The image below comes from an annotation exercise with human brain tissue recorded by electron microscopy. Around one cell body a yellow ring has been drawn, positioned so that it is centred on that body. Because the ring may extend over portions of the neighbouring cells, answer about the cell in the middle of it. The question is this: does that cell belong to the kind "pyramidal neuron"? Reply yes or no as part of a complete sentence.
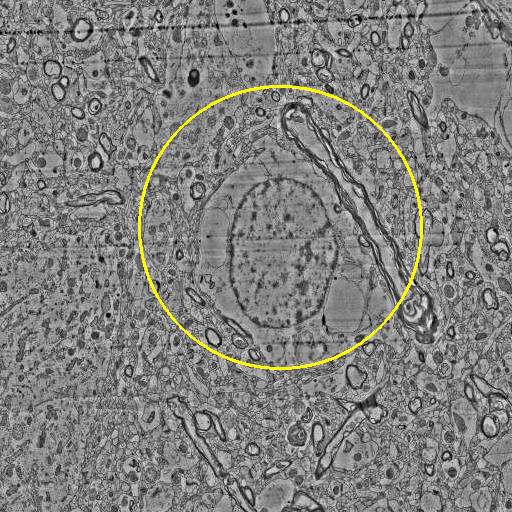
No, in the image the cell in the middle of the ring is of another kind.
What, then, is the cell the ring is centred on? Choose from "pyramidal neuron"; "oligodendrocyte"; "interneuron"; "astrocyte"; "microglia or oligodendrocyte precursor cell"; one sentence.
The correct answer is that the cell is an astrocyte.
